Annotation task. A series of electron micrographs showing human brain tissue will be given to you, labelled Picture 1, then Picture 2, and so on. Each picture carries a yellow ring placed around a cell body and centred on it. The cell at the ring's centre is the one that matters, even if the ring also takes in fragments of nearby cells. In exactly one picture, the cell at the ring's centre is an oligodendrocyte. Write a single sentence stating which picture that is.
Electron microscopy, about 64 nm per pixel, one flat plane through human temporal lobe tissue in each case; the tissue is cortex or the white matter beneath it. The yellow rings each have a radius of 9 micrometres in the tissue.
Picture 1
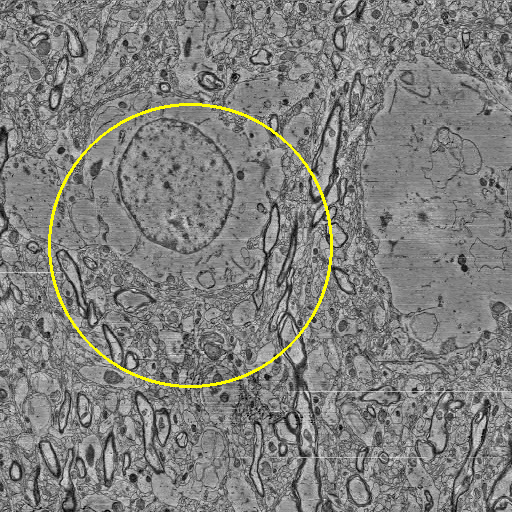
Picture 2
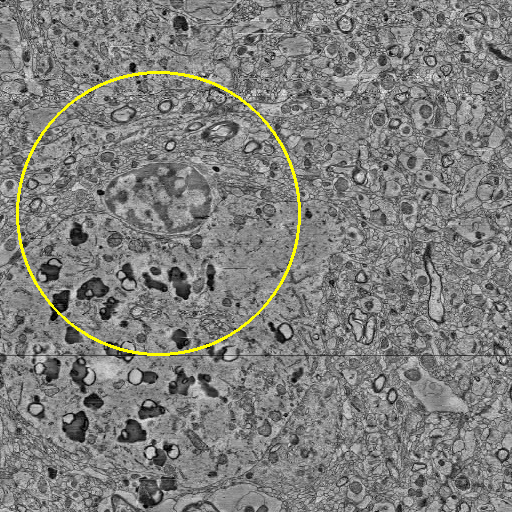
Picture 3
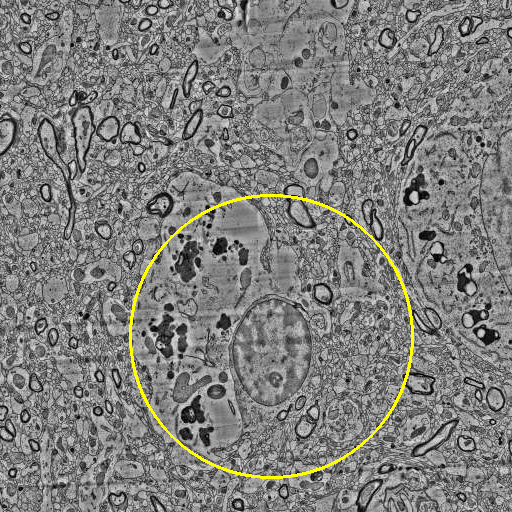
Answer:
Picture 3 holds the requested cell at the very centre of its ring.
